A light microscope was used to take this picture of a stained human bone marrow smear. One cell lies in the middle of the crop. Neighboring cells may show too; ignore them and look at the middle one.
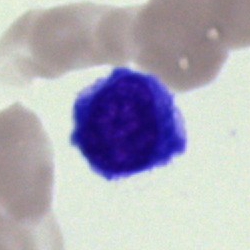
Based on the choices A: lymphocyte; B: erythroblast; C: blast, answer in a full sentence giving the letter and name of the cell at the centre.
The cell in the centre of the crop is an erythroblast, so option B is the correct one.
